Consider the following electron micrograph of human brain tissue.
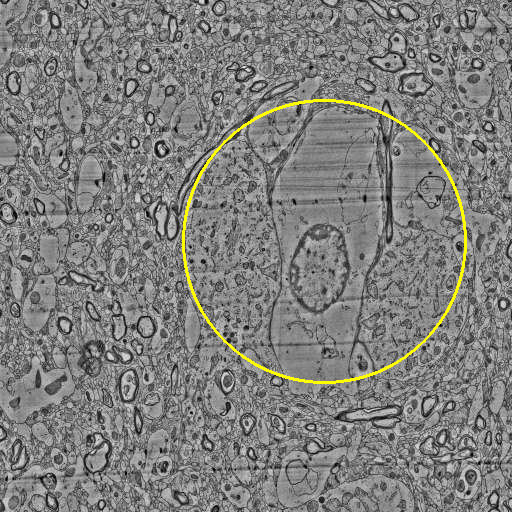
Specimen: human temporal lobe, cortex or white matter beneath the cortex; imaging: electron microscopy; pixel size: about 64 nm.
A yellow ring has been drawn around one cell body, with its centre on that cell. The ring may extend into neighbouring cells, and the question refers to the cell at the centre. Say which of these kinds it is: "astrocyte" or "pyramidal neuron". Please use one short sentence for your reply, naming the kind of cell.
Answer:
The centre of the ring falls on an astrocyte.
